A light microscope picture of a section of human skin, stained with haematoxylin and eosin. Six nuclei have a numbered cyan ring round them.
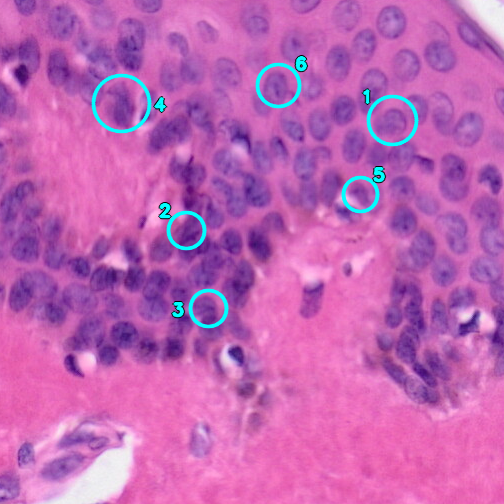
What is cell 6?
suprabasal keratinocyte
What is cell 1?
suprabasal keratinocyte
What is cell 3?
basal keratinocyte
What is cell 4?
basal keratinocyte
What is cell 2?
basal keratinocyte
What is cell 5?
basal keratinocyte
